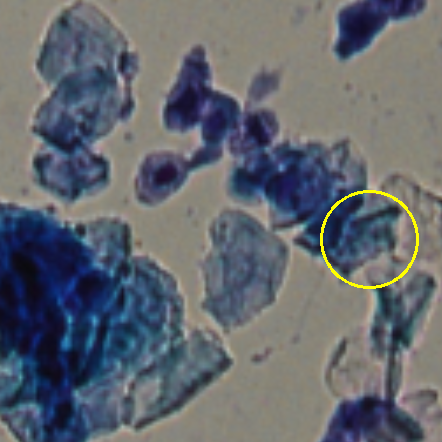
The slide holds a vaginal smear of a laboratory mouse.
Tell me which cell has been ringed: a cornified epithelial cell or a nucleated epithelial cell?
It is a cornified epithelial cell.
